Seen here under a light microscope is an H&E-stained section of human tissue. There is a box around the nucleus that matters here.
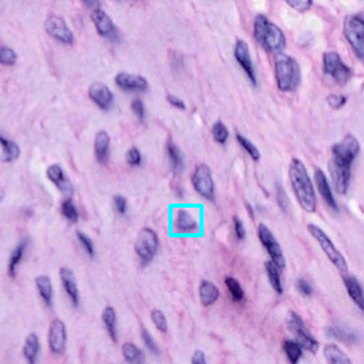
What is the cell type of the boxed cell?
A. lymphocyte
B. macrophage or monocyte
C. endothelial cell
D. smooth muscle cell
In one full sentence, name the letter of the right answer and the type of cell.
Option D is right, and the boxed cell is a smooth muscle cell.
